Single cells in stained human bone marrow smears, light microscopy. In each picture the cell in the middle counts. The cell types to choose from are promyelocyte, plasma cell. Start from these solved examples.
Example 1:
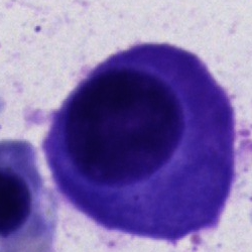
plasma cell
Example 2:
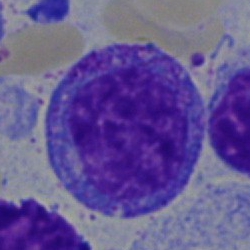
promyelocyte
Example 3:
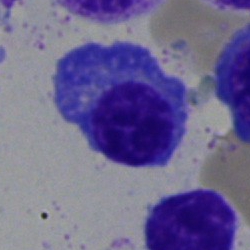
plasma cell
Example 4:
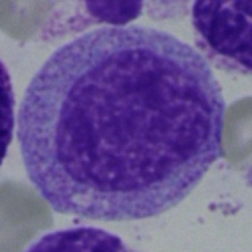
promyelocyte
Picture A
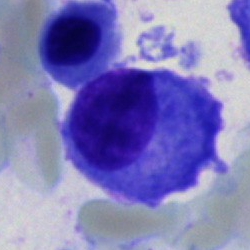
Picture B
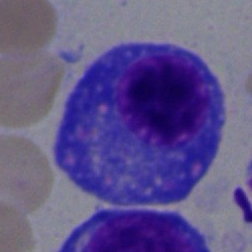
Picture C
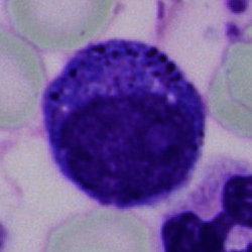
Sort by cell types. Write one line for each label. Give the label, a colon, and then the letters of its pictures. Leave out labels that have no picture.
promyelocyte: C
plasma cell: A, B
